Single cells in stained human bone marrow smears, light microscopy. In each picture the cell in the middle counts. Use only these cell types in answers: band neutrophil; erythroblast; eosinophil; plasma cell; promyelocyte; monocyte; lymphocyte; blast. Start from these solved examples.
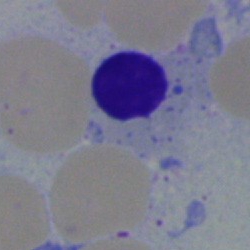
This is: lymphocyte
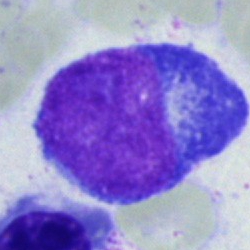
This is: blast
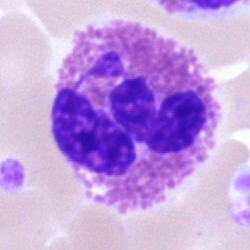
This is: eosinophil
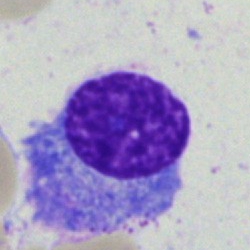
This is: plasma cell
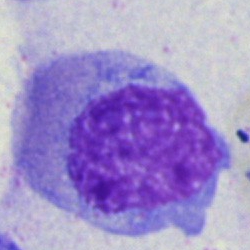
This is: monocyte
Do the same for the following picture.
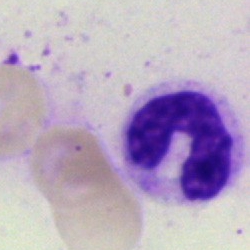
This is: band neutrophil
